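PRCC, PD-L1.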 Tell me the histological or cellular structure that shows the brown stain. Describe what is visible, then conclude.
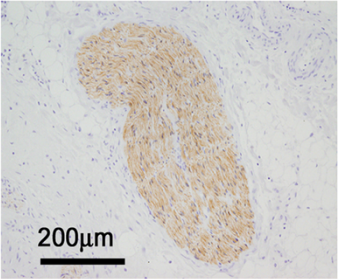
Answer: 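An elongated bundle of wavy fibres is stained brown. The bundle is set in pale connective tissue that is unstained. That points to this answer: neuronal fibers.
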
